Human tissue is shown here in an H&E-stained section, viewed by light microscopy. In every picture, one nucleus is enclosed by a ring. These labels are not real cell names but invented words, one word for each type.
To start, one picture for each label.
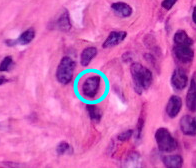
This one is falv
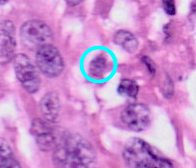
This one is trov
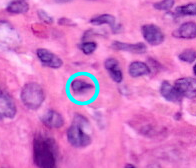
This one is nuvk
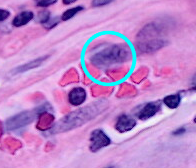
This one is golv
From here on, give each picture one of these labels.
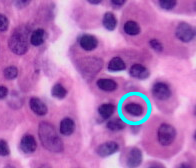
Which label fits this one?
falv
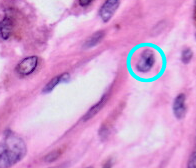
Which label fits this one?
nuvk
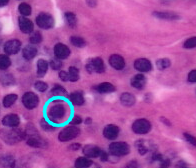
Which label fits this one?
falv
